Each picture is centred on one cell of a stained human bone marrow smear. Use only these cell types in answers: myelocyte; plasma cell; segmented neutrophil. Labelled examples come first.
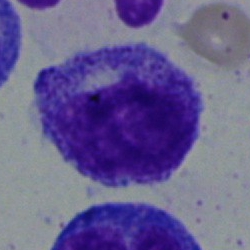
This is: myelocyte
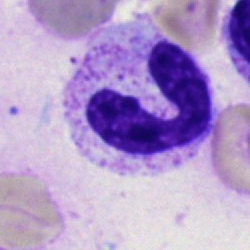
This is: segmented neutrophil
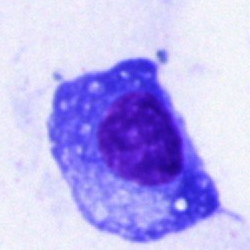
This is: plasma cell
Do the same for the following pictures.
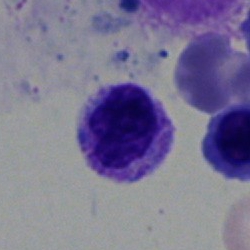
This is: myelocyte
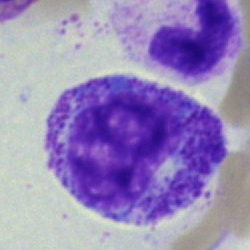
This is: myelocyte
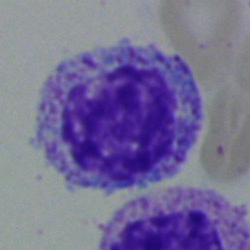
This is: myelocyte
